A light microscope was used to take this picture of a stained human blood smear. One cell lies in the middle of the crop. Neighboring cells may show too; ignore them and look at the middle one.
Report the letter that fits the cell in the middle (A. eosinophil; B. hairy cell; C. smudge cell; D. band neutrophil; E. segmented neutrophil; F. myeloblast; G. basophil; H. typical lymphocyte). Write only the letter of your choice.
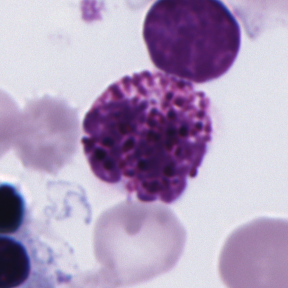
G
